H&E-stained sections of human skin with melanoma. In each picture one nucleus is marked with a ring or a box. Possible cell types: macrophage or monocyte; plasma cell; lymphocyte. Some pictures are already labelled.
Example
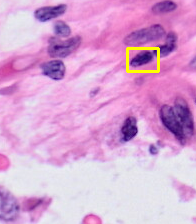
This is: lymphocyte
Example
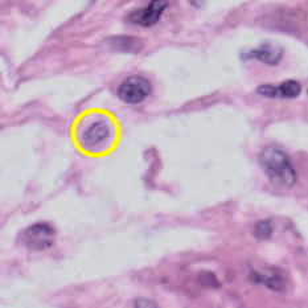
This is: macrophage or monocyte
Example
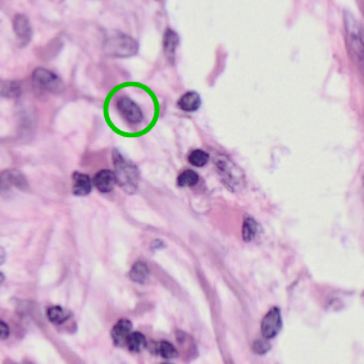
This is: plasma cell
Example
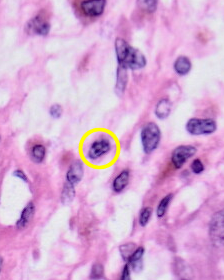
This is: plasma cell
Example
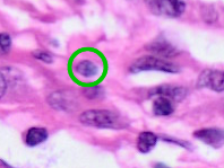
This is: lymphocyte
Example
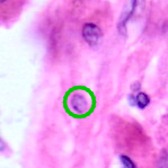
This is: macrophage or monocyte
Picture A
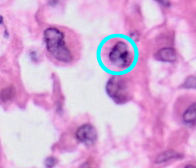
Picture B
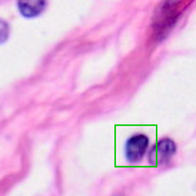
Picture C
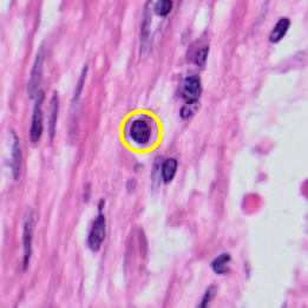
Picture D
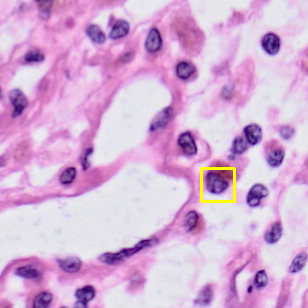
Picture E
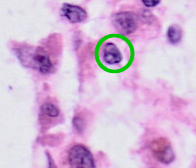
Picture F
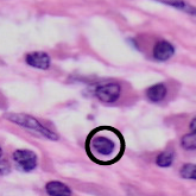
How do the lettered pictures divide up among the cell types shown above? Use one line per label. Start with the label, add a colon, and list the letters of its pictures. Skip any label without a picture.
macrophage or monocyte: A, D
plasma cell: C, F
lymphocyte: B, E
